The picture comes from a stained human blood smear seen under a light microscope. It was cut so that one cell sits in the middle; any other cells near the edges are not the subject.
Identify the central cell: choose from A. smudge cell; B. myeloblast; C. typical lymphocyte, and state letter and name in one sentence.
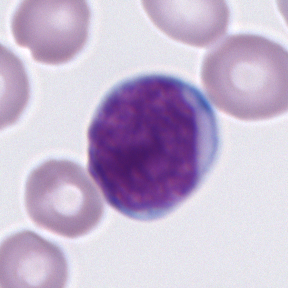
The cell in the middle is a myeloblast, and so option B is correct.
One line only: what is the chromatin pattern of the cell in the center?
Just so you know, its chromatin is coarsely clumped.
